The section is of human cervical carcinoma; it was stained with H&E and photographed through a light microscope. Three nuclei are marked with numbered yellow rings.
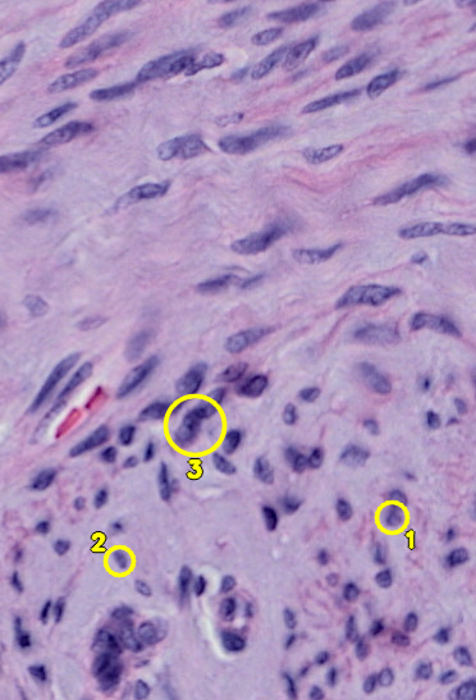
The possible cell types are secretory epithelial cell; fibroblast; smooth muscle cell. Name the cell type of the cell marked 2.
fibroblast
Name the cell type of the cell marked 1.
smooth muscle cell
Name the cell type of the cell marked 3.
fibroblast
